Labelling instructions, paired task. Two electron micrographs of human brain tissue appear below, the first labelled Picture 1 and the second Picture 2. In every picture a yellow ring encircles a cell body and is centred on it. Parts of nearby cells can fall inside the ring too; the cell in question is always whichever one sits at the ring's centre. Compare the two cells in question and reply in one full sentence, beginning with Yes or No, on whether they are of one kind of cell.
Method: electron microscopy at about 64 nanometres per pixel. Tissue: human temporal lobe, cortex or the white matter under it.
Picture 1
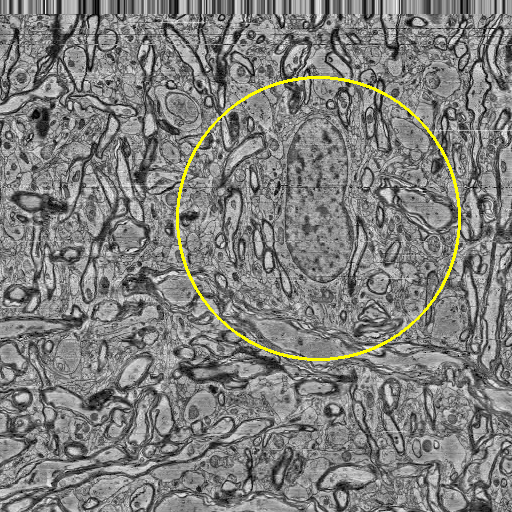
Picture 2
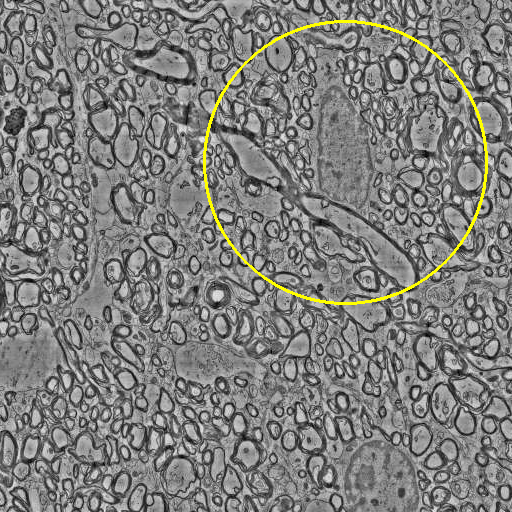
No, the two cells at the ring centres in Picture 1 and Picture 2 are of two kinds.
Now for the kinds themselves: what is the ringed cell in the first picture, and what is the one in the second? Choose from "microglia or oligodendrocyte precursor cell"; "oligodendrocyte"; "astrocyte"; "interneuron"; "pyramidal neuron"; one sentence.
Here the first cell is a microglial cell or oligodendrocyte precursor cell and the second cell is an oligodendrocyte.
